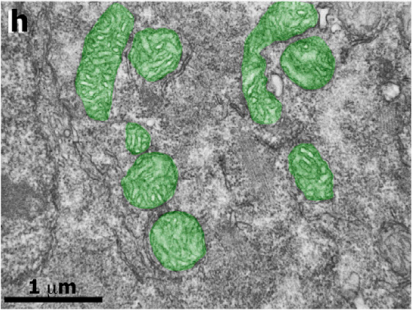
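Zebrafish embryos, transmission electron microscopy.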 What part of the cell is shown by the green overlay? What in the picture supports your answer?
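Many round and curved green organelles crowd the field. Each has folded internal membranes.
Answer: mitochondria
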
